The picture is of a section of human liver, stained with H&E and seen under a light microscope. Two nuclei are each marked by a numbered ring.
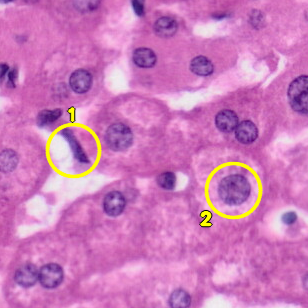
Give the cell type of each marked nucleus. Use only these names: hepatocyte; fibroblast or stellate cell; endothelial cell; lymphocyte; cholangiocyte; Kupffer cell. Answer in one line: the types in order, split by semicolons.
Kupffer cell; hepatocyte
